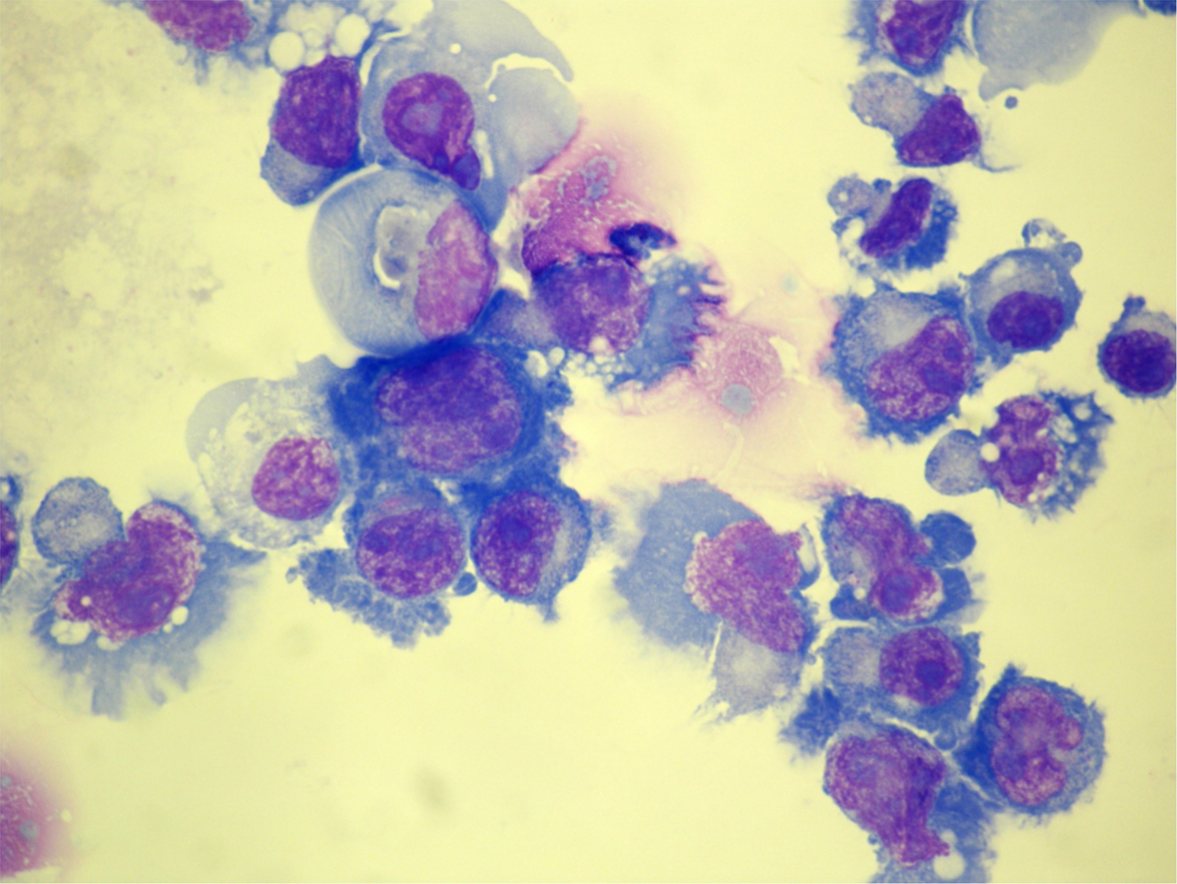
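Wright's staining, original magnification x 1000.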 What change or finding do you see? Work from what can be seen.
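Eccentrically located large nuclei. Nuclei are pushed to one side of the cell. Nuclei are large and purple, oval to irregularly folded.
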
